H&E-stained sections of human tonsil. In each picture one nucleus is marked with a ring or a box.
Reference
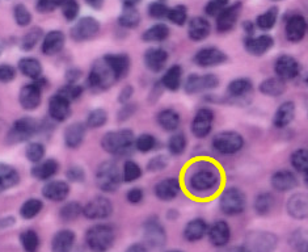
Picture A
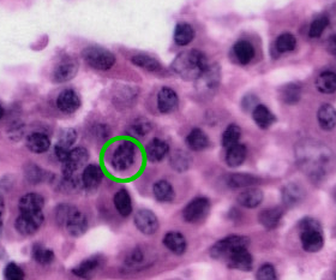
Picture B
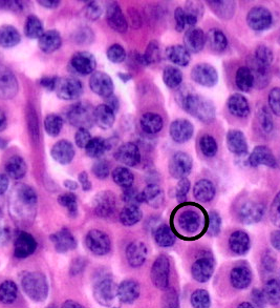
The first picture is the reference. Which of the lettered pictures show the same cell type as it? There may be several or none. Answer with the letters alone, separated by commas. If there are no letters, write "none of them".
A, B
